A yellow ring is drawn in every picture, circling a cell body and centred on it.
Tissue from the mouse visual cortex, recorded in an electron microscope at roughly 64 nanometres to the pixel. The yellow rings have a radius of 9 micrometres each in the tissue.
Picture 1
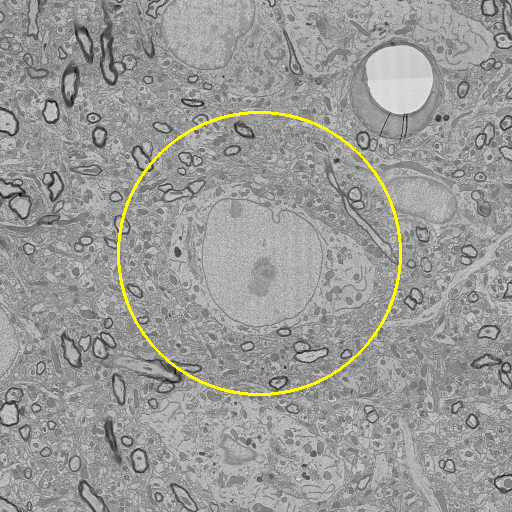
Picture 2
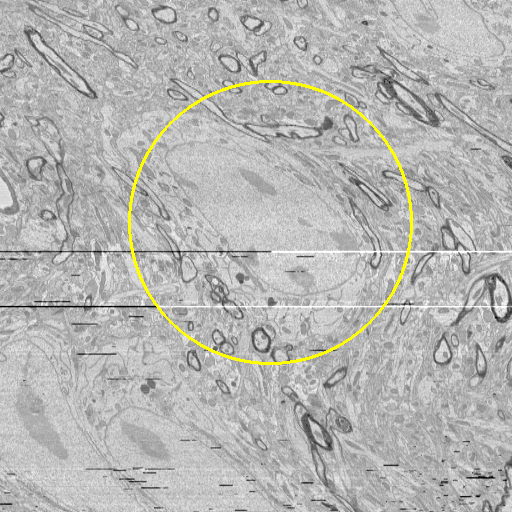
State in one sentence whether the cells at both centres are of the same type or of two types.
The cells at the two ring centres, one per picture, are of the same type.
